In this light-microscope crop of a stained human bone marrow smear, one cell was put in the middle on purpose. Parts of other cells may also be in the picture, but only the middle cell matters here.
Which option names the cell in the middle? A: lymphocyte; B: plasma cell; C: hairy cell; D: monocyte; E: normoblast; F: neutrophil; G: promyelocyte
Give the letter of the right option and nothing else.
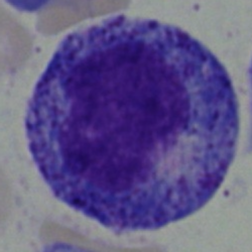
G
